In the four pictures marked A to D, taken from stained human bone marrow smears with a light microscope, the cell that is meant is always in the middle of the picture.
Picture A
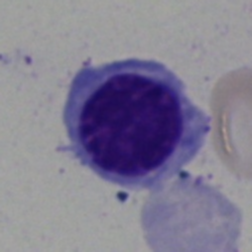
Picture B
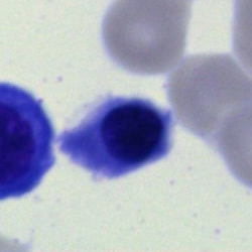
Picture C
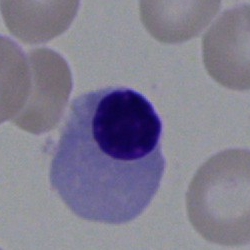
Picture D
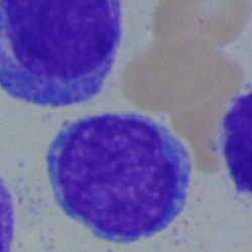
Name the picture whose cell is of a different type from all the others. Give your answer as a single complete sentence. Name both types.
The different one is picture D; it shows a blast, whereas all the others show erythroblasts.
